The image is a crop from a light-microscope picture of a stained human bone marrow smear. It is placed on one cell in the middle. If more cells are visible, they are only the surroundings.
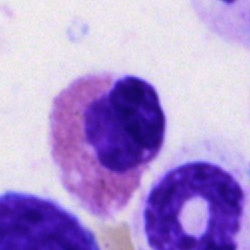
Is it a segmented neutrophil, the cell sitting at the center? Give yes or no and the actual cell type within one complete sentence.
No, the central cell is not a segmented neutrophil; it is an eosinophil instead.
